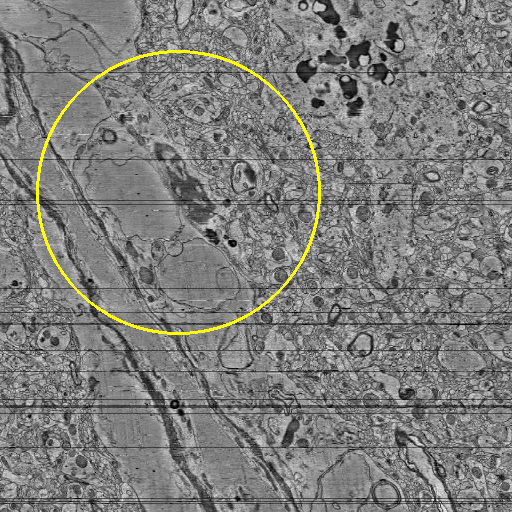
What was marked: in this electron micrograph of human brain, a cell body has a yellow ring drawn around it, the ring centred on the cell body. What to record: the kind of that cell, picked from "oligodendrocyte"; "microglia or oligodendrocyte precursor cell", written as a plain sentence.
The centred cell is a microglial cell or oligodendrocyte precursor cell.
